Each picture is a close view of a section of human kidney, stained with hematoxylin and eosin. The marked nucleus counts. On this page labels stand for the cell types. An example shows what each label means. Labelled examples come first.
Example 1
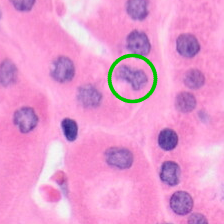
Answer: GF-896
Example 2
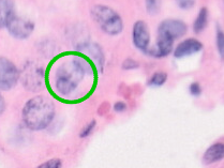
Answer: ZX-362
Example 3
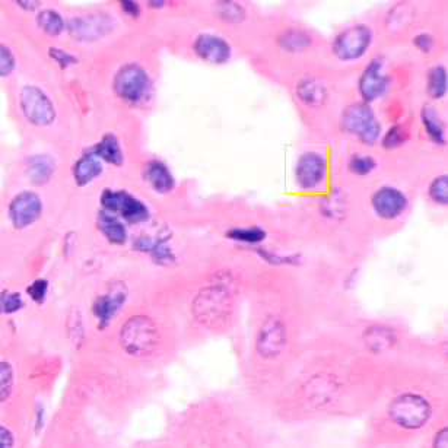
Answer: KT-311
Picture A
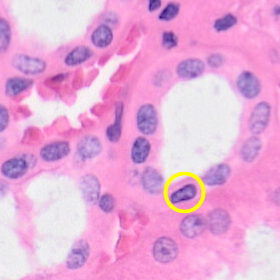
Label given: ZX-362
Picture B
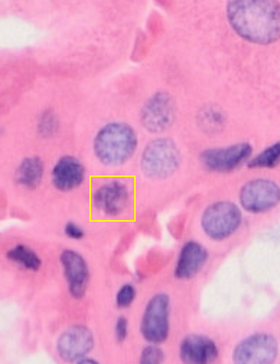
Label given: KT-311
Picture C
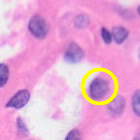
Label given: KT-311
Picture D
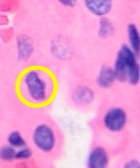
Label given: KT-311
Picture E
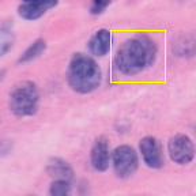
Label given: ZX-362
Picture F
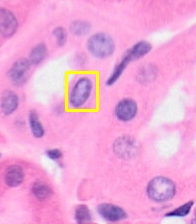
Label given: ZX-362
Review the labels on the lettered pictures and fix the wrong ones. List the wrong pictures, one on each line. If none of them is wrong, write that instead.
Nothing to fix; every label fits.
